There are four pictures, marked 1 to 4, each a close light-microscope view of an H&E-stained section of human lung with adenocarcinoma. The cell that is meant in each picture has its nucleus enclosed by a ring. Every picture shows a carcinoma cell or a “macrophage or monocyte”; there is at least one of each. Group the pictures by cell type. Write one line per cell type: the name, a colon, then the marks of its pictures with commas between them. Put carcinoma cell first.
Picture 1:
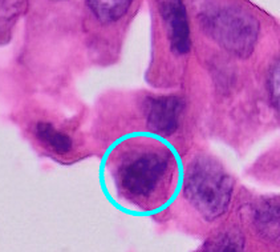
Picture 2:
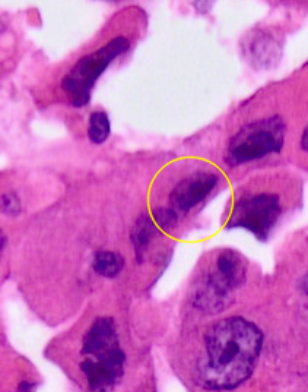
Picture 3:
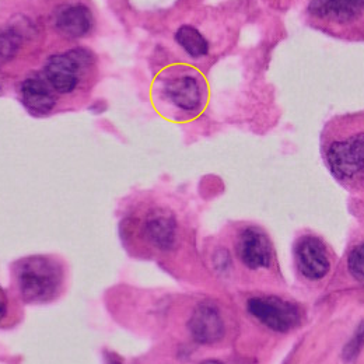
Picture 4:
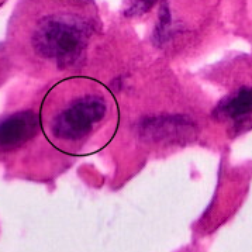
carcinoma cell: 1, 2, 4
macrophage or monocyte: 3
